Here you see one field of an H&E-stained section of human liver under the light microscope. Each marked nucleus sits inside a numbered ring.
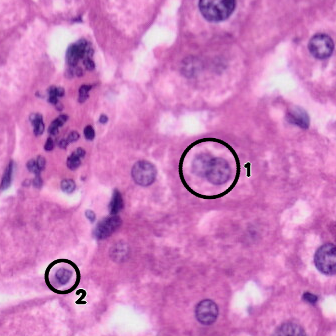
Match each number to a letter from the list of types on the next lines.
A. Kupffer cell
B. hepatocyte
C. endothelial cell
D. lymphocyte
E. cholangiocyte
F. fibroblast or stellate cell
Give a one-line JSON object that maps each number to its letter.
{"1": "B", "2": "A"}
